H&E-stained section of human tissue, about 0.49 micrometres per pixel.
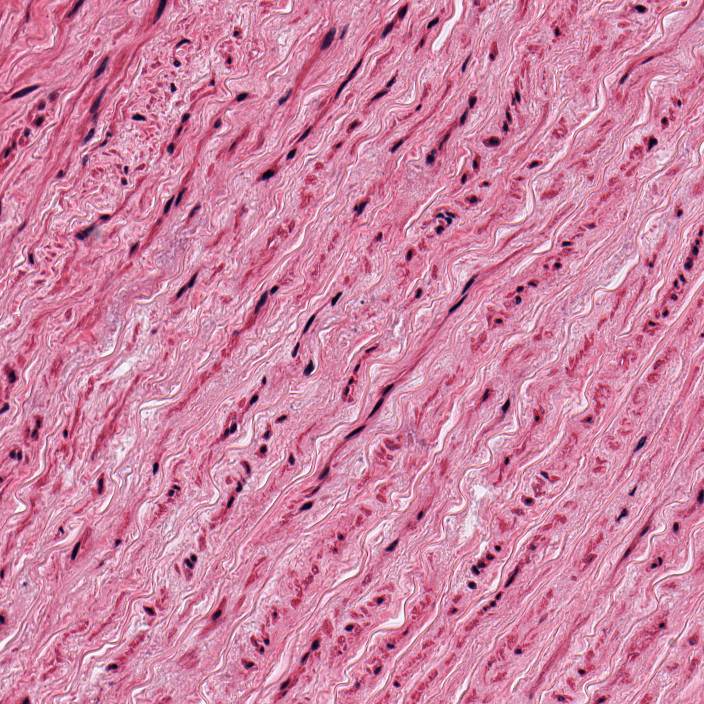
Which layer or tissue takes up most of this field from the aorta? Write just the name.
tunica media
